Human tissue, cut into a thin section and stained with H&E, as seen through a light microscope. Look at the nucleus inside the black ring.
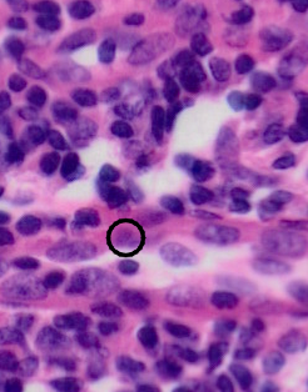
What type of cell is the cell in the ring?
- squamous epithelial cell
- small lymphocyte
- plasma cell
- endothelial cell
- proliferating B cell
endothelial cell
